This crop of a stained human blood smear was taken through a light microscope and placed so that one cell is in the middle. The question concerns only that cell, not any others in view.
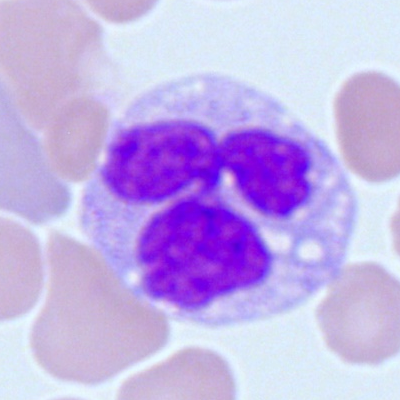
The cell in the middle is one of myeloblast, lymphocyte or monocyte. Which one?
monocyte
